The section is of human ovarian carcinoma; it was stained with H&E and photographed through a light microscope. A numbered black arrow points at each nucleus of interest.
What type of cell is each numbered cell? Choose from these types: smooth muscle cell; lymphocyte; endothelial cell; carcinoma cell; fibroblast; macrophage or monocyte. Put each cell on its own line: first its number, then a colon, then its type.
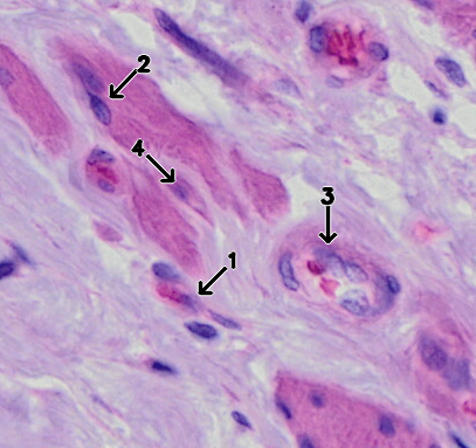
1: endothelial cell
2: smooth muscle cell
3: endothelial cell
4: smooth muscle cell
